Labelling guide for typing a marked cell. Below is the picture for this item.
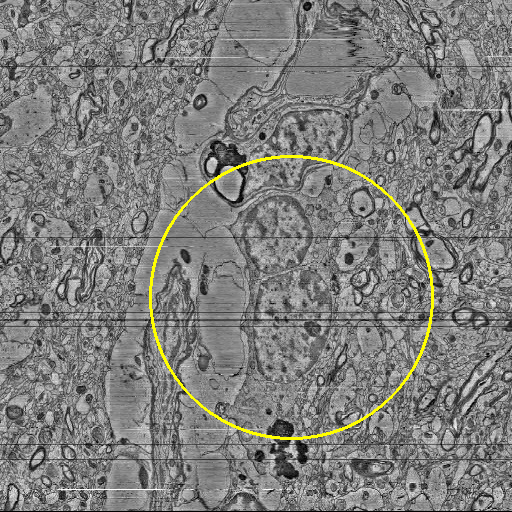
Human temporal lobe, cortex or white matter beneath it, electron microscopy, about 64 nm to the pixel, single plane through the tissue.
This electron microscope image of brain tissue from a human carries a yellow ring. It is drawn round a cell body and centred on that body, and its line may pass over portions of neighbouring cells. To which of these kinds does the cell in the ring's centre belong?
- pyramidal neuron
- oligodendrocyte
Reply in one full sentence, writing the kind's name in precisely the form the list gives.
Here we have an oligodendrocyte at the centre of the yellow ring in the picture.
